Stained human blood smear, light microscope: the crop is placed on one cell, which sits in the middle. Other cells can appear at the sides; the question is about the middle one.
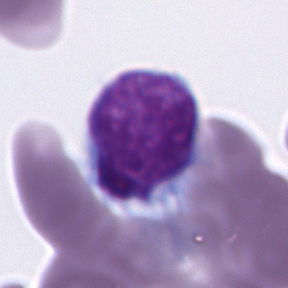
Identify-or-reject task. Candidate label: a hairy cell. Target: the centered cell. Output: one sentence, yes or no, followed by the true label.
Yes, the centered cell in this field is a hairy cell.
